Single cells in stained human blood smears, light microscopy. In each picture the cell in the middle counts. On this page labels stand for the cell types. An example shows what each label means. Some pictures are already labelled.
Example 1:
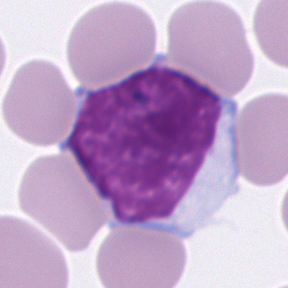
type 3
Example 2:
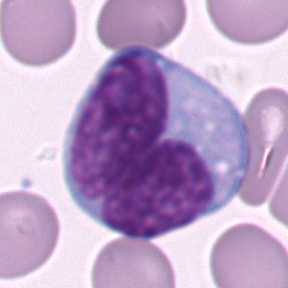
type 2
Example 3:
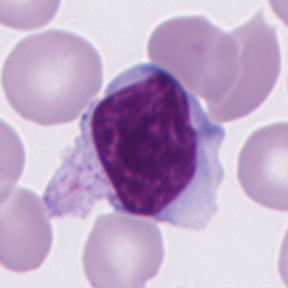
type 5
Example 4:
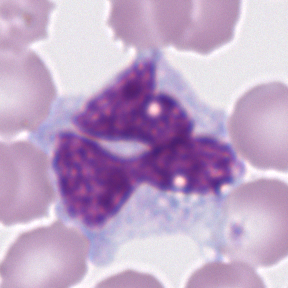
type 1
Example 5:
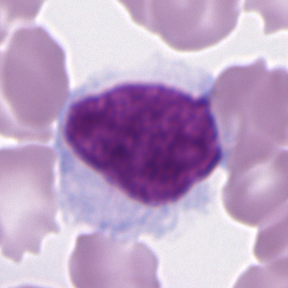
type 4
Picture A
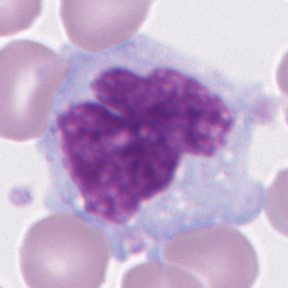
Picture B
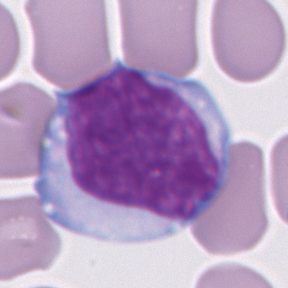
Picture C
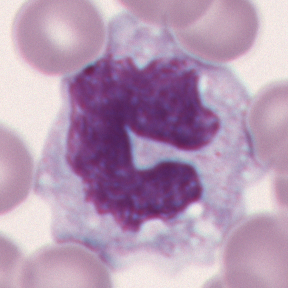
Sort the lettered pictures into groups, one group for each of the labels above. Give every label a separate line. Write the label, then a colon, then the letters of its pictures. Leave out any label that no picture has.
type 2: B
type 1: A, C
